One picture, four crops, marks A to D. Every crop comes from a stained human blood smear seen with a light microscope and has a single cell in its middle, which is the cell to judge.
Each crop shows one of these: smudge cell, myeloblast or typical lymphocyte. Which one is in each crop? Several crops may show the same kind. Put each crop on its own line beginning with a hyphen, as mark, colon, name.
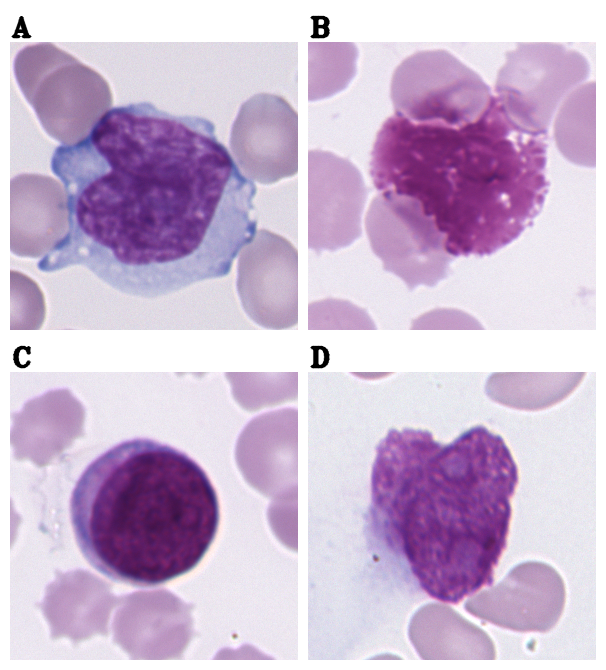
- A: myeloblast
- B: smudge cell
- C: myeloblast
- D: smudge cell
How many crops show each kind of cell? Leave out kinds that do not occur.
myeloblast: 2
smudge cell: 2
